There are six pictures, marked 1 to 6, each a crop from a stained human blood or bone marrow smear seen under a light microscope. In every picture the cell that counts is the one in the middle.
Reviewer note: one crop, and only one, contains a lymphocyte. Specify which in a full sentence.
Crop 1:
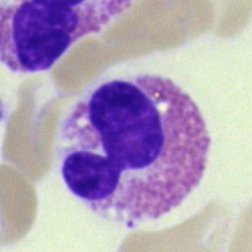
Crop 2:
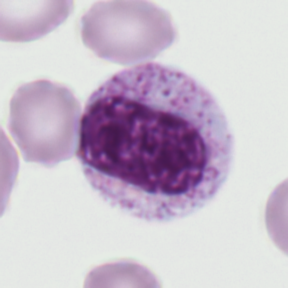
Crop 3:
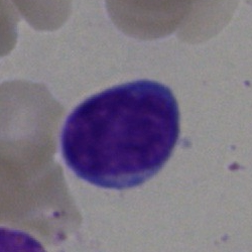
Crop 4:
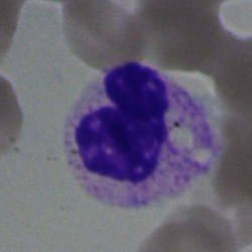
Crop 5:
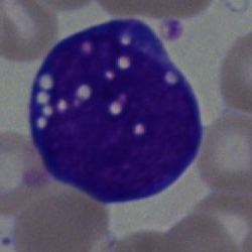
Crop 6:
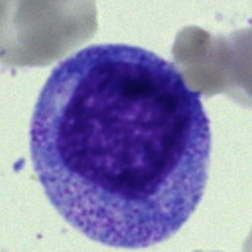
Among these crops, crop 3 holds a lymphocyte.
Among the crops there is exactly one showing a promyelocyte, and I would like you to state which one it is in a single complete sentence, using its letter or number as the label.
Crop 6 is the crop featuring a promyelocyte at its center.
